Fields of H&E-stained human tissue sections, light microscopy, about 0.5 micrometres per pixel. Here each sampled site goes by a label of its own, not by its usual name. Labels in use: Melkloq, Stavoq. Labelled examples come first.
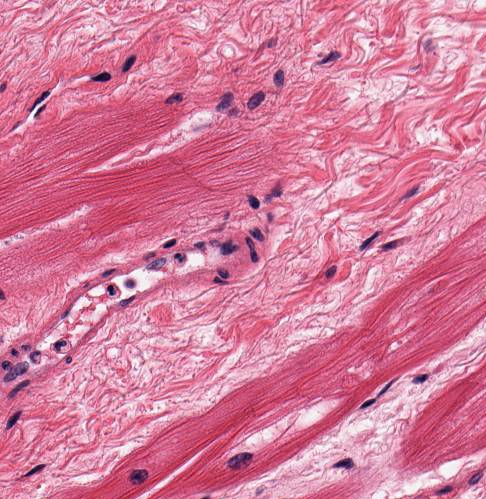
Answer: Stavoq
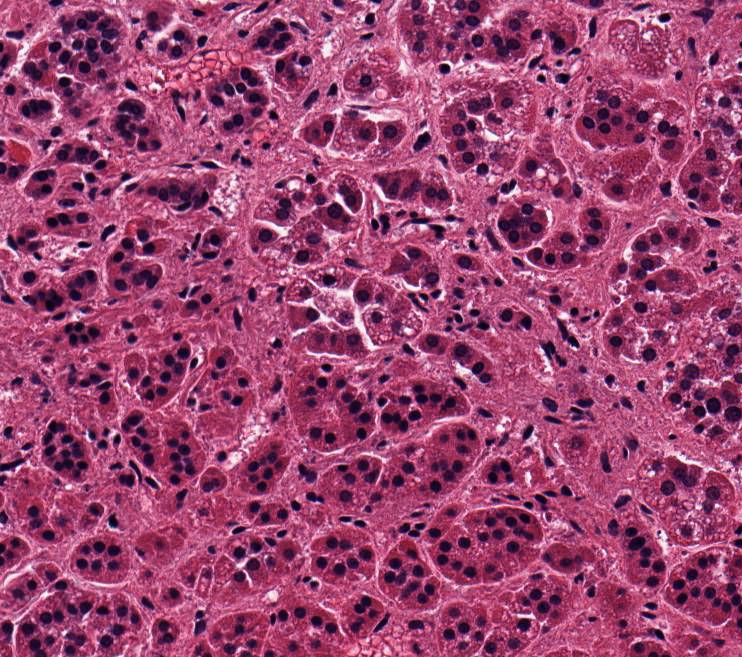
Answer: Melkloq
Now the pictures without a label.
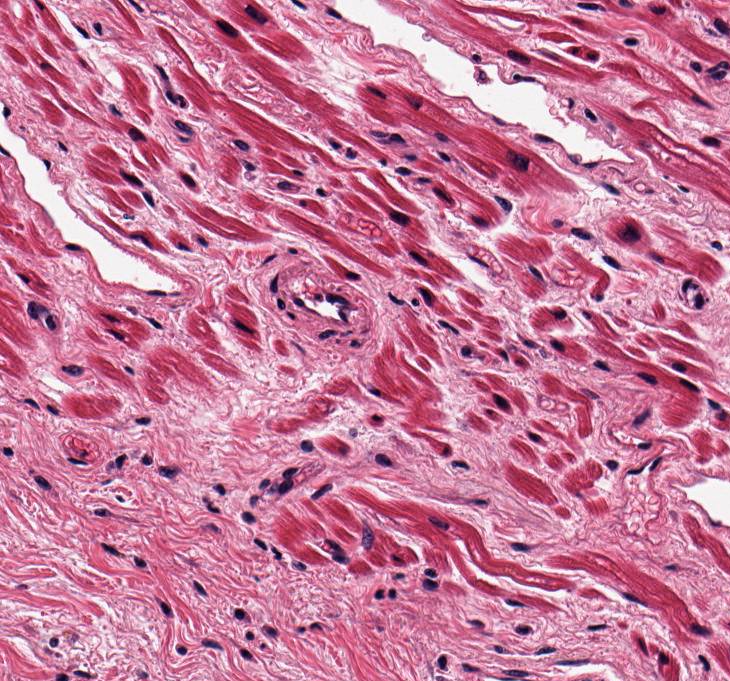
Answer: Stavoq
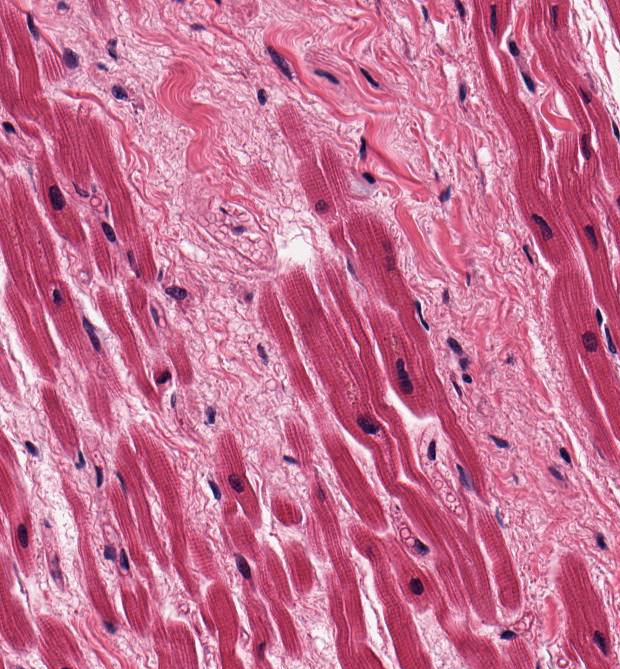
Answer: Stavoq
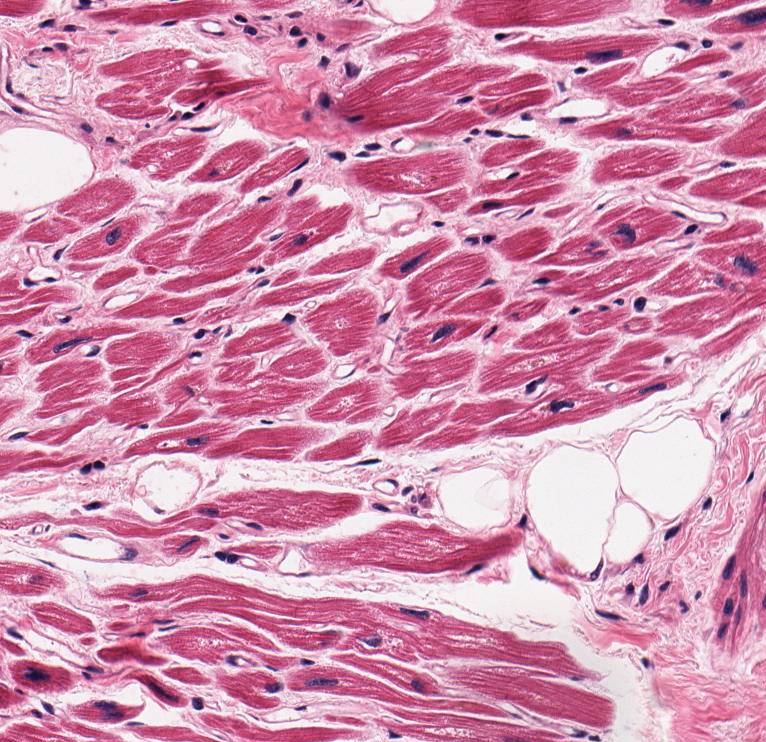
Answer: Stavoq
